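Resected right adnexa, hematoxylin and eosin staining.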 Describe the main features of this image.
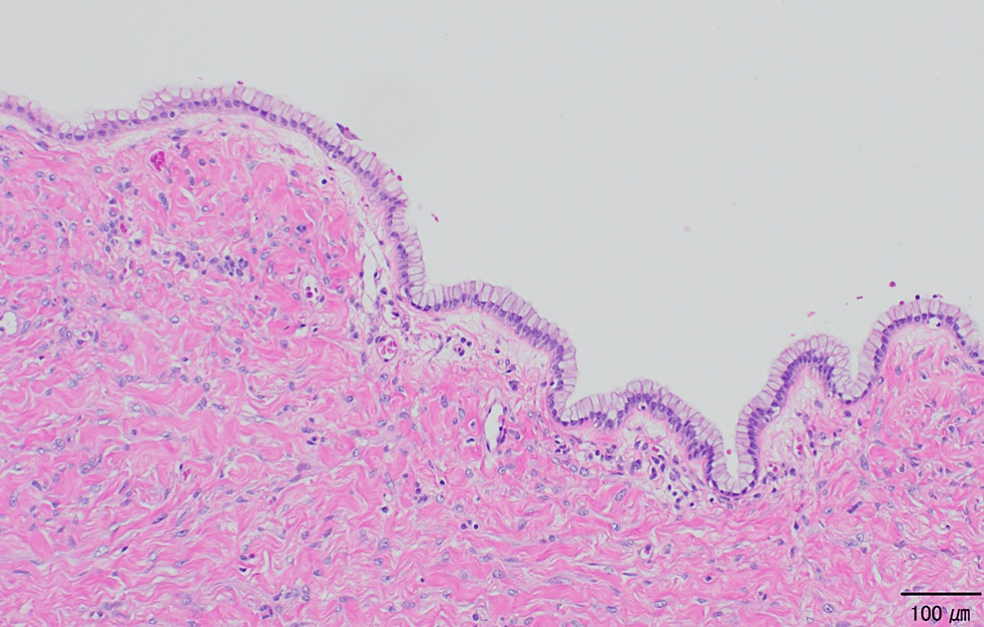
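A wavy surface facing an empty space is covered by a single row of tall columnar cells whose apical cytoplasm is pale and clear, while their small, uniform, dark nuclei line up in one row at the base. Beneath lies dense pink fibrous stroma with scattered spindle-shaped nuclei, a few small vessels and a small cluster of dark round cells near the surface. The lining shows no layering, crowding or enlarged nuclei. This is the wall of a cyst lined by simple, non-stratified mucinous epithelium without atypia, as in a mucinous cystadenoma.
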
